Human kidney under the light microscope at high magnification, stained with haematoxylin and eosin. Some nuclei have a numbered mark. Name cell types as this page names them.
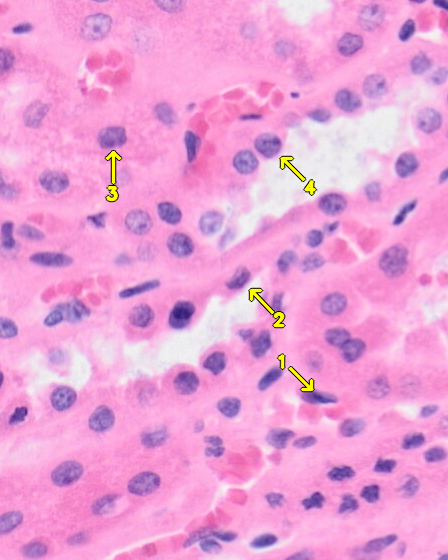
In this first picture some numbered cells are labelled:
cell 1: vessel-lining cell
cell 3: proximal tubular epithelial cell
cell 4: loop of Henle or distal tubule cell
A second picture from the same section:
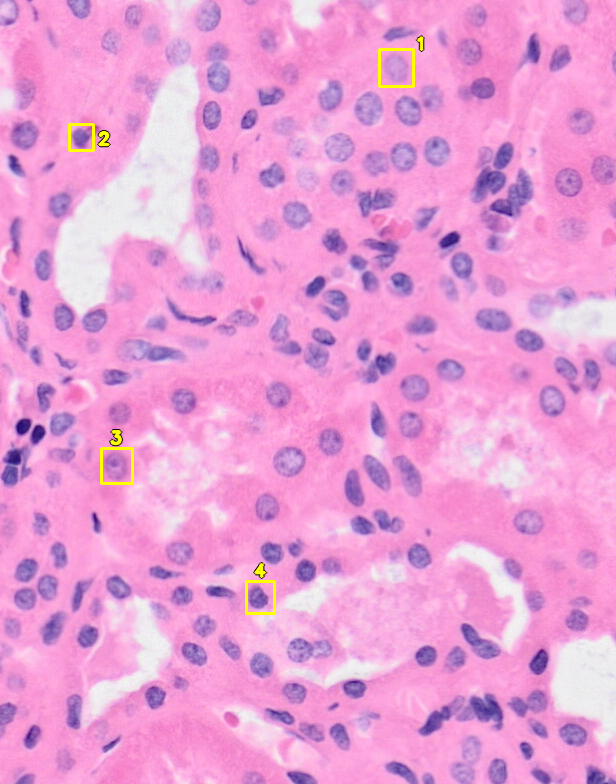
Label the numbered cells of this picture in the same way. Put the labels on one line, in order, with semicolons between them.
loop of Henle or distal tubule cell; vessel-lining cell; proximal tubular epithelial cell; loop of Henle or distal tubule cell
